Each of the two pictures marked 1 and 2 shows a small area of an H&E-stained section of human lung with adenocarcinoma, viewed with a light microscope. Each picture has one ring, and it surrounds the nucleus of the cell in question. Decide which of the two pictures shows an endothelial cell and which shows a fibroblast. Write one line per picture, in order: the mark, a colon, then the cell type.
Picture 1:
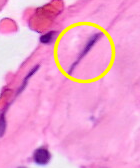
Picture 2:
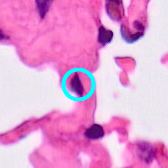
1: fibroblast
2: endothelial cell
